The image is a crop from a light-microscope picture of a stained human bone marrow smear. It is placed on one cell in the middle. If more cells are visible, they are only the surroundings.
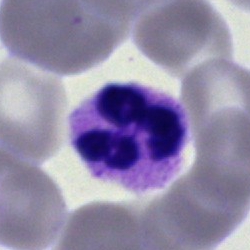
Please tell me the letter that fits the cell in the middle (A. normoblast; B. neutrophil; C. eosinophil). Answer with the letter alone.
B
